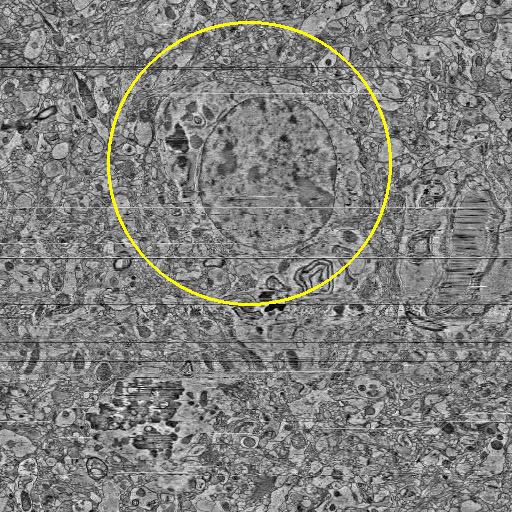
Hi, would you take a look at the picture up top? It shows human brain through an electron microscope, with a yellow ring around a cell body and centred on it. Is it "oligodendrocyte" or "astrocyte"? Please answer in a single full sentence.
The best fit for the cell in the middle of the ring is an astrocyte, I reckon.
